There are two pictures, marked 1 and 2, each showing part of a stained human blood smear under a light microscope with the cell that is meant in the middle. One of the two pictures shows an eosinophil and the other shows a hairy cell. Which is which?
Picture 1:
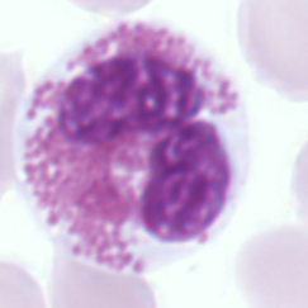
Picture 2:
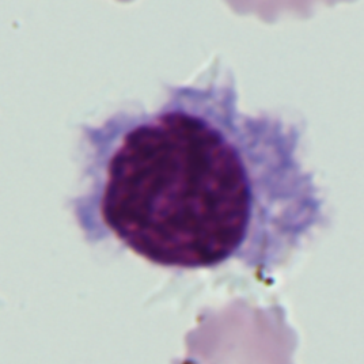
1: eosinophil
2: hairy cell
